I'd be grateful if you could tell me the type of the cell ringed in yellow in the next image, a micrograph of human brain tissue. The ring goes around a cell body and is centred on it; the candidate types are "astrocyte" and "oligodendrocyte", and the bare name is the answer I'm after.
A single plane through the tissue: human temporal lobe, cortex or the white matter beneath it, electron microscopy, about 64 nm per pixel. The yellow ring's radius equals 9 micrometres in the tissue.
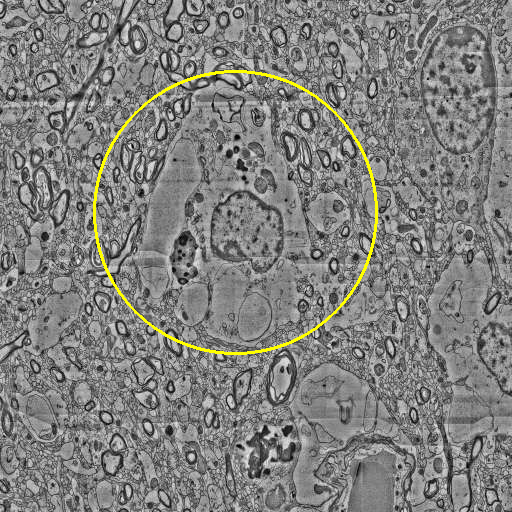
astrocyte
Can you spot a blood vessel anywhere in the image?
Yes.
